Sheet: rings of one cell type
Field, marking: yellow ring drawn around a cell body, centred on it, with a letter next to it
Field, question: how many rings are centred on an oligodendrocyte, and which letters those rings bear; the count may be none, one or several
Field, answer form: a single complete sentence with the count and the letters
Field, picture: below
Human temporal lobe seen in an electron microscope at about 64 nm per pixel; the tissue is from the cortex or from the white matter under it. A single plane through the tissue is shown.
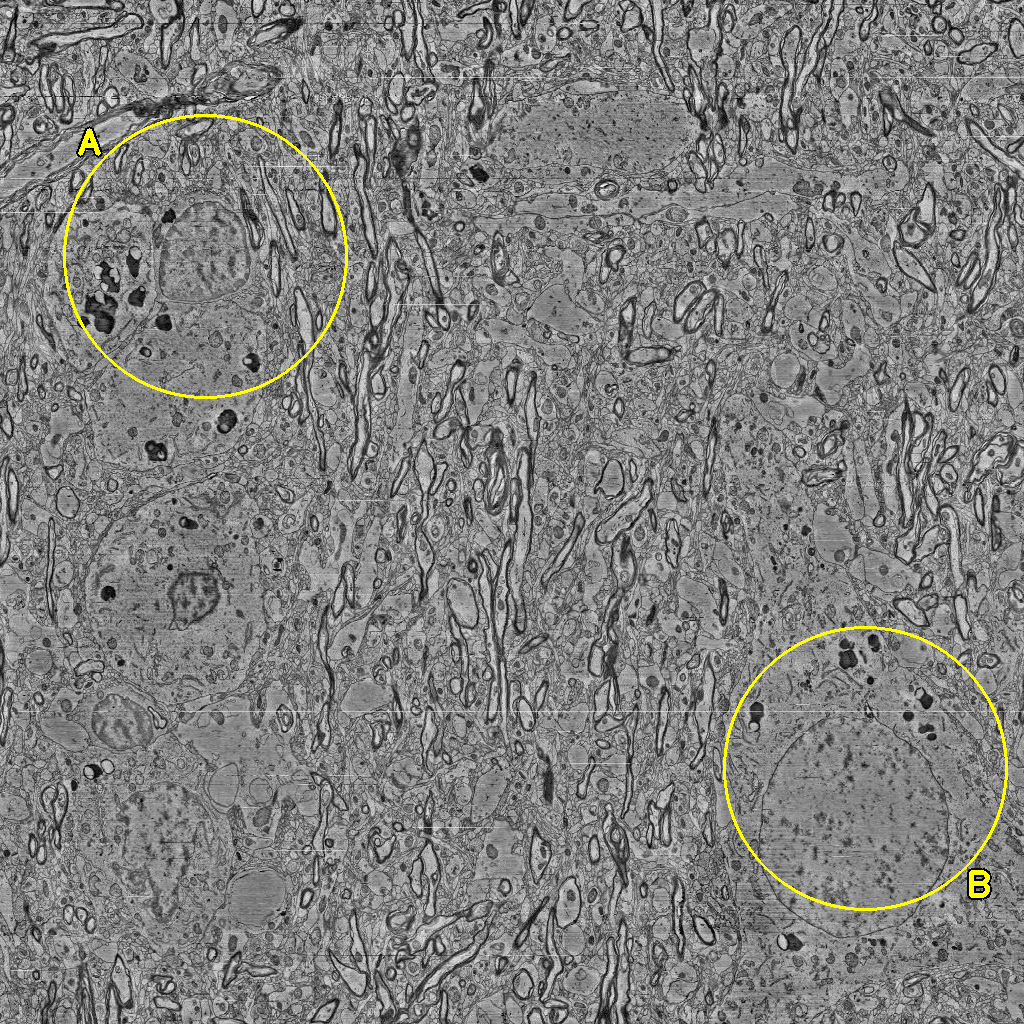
There is a single ring with an oligodendrocyte at its centre, and it is labelled A.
